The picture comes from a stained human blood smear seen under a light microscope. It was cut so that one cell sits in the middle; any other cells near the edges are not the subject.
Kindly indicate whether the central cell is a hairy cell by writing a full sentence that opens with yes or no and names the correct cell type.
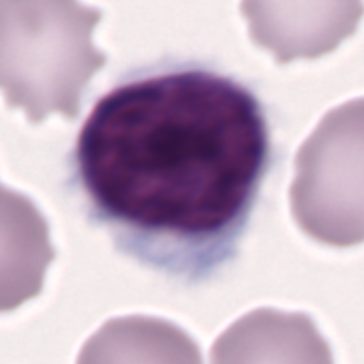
Yes, a hairy cell is present in the middle of the crop.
